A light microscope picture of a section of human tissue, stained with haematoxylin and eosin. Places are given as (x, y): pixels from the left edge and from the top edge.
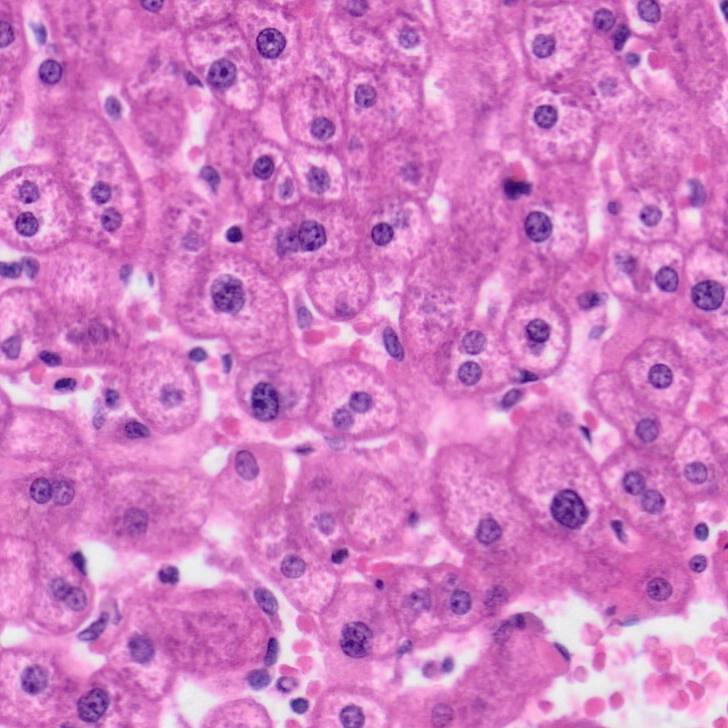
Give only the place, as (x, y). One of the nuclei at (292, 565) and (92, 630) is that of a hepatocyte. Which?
(292, 565)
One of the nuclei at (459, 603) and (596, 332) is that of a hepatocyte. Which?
(459, 603)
